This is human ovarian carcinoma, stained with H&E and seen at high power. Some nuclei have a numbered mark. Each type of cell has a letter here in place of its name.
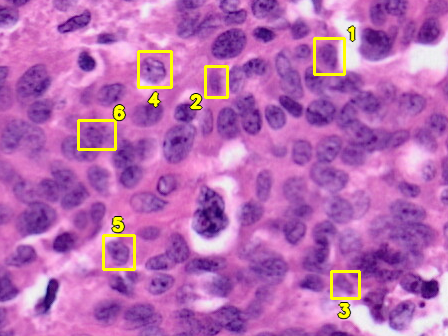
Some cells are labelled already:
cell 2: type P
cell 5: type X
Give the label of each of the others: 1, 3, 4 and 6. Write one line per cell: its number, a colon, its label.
1: type P
3: type P
4: type X
6: type P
